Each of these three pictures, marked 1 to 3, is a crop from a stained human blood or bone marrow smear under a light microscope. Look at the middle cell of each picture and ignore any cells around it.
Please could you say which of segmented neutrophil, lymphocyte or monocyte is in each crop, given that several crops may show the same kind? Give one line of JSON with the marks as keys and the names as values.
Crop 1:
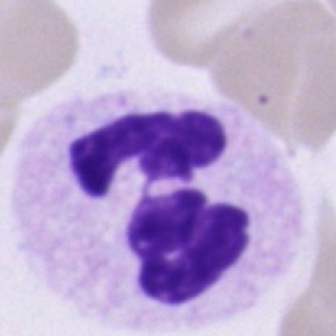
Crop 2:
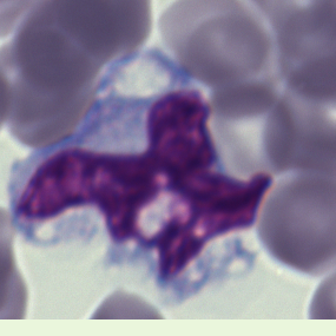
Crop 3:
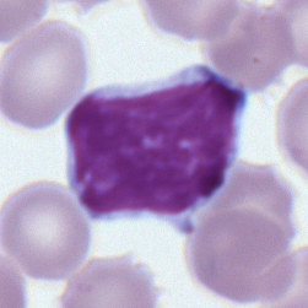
{"1": "segmented neutrophil", "2": "monocyte", "3": "lymphocyte"}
